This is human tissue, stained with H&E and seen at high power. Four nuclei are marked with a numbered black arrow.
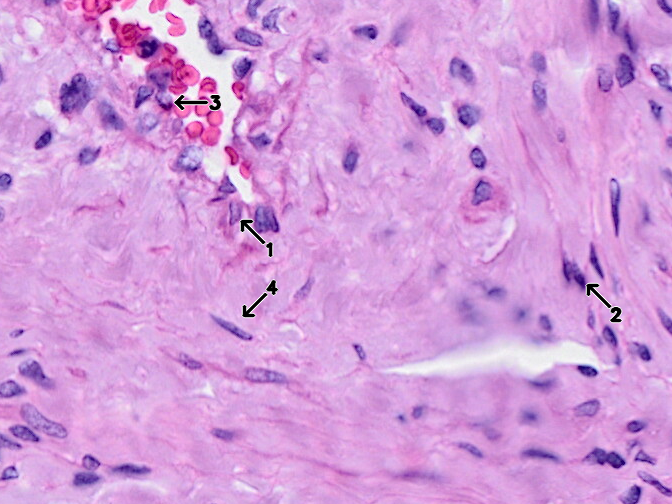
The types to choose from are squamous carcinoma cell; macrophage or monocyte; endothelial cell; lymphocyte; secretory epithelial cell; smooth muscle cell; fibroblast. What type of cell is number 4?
fibroblast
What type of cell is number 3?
endothelial cell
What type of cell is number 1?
endothelial cell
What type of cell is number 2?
fibroblast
